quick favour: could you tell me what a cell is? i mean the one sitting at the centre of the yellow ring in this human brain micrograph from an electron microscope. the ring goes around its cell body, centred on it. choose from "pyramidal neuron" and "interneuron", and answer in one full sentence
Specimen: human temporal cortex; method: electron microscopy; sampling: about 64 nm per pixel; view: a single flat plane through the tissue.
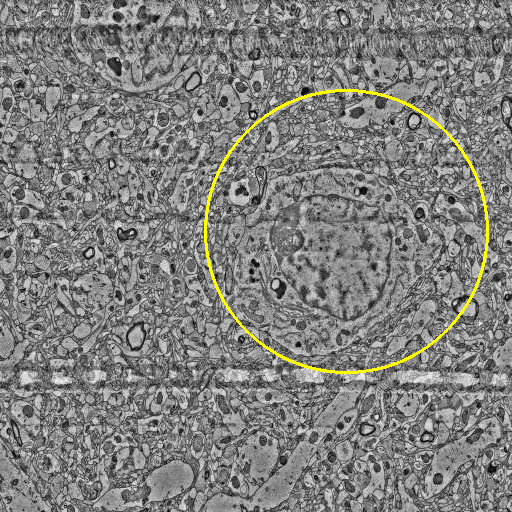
That's an interneuron, the cell sitting at the centre of the yellow ring.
